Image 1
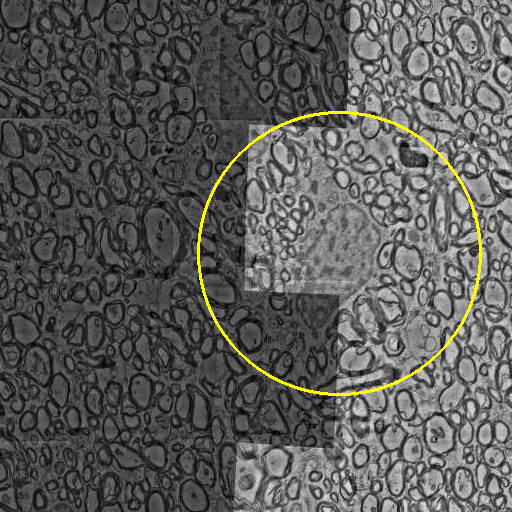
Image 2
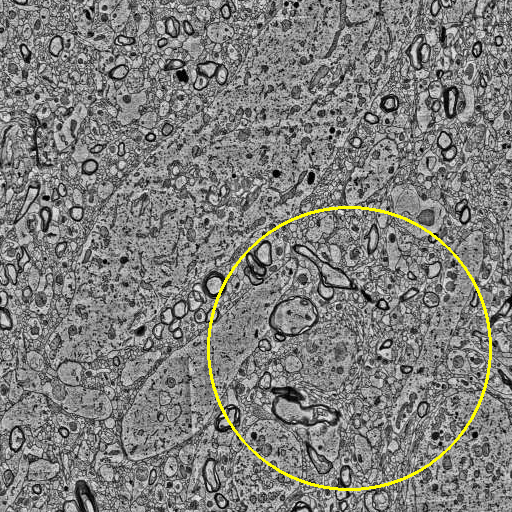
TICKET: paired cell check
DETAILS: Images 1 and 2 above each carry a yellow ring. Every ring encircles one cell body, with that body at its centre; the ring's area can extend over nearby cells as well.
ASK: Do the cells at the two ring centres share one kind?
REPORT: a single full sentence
Yes, the ring-centre cells of Images 1 and 2 belong to a single kind.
